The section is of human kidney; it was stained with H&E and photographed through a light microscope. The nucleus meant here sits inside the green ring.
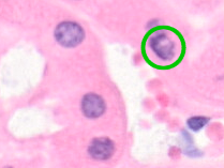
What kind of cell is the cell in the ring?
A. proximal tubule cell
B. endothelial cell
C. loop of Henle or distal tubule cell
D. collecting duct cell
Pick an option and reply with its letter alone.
A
